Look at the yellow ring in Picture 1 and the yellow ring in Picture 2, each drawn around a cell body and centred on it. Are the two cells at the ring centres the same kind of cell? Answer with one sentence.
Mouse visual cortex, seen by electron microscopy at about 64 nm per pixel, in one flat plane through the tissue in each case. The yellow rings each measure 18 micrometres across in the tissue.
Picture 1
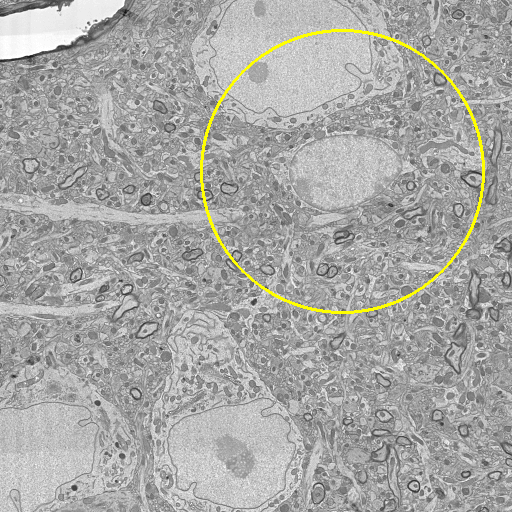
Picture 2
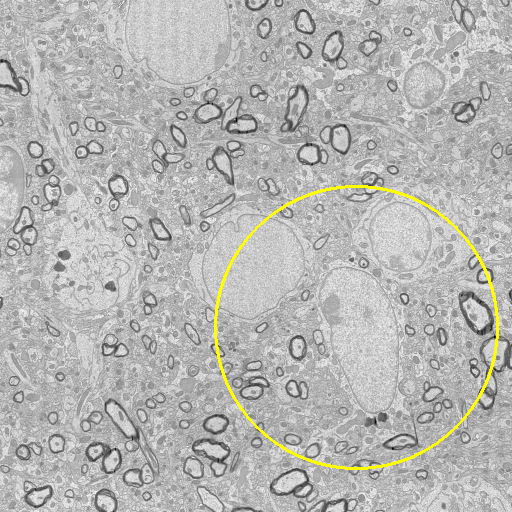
Yes, both are the same kind of cell.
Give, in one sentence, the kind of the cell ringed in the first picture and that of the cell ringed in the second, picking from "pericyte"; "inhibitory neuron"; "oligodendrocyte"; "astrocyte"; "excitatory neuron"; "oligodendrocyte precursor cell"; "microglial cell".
Each one of the two ringed cells is an astrocyte.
